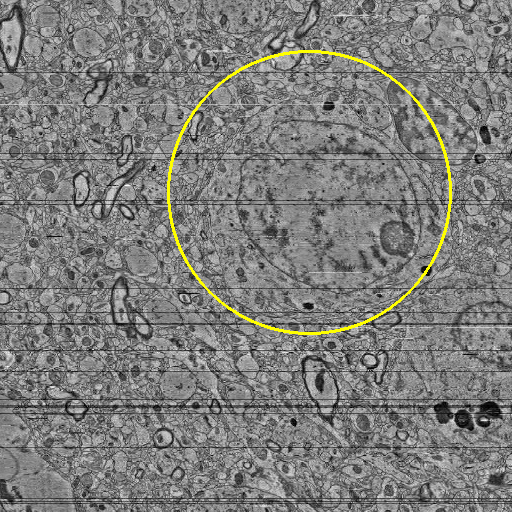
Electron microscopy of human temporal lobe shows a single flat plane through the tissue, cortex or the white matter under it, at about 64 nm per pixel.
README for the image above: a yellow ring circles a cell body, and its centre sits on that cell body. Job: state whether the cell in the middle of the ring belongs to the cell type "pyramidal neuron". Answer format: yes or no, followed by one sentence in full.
Yes, the cell sitting in the middle of the ring in the image belongs to that type.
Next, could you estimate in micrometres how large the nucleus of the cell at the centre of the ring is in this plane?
Roughly 13 by 11 micrometres in this plane, for the nucleus of the ringed cell.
